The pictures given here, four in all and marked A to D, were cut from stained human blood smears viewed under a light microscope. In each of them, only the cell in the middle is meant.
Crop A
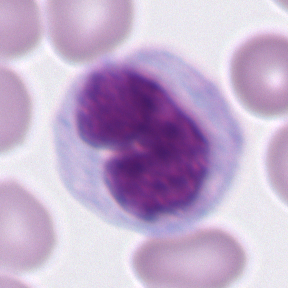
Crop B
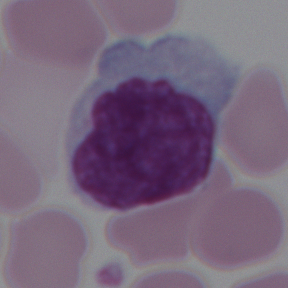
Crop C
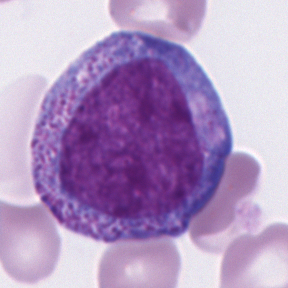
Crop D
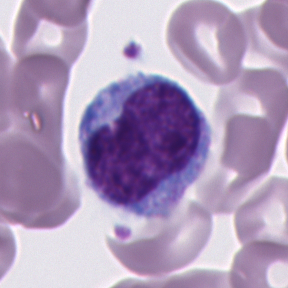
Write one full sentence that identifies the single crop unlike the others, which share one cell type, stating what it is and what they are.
The crops all show monocytes, with the exception of crop C, which shows a promyelocyte.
